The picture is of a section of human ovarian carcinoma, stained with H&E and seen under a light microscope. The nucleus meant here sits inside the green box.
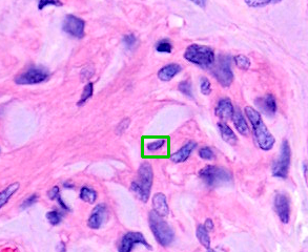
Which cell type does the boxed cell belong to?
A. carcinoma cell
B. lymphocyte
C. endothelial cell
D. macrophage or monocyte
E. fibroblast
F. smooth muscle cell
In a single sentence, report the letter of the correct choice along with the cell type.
It is correct to say that the boxed cell is a smooth muscle cell, as option F does.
